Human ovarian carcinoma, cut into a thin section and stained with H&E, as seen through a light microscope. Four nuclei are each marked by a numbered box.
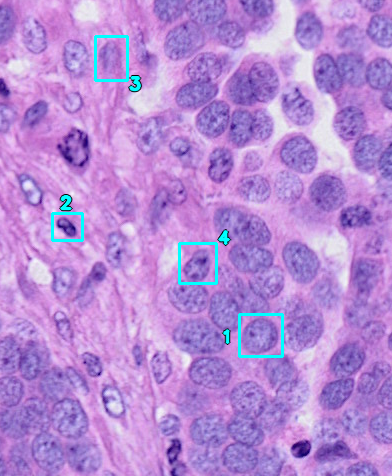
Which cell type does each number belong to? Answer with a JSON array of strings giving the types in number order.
["carcinoma cell", "lymphocyte", "fibroblast", "macrophage or monocyte"]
